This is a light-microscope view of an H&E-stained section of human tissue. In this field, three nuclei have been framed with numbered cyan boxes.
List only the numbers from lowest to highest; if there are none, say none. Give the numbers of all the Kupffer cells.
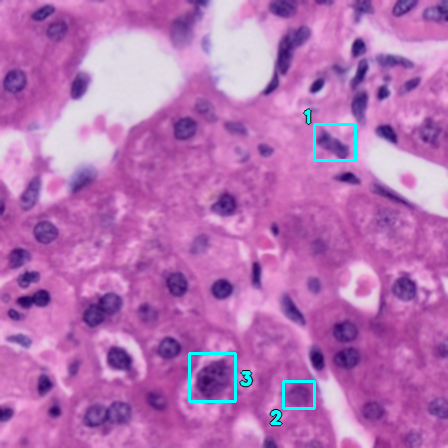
none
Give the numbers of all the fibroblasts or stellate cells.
1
